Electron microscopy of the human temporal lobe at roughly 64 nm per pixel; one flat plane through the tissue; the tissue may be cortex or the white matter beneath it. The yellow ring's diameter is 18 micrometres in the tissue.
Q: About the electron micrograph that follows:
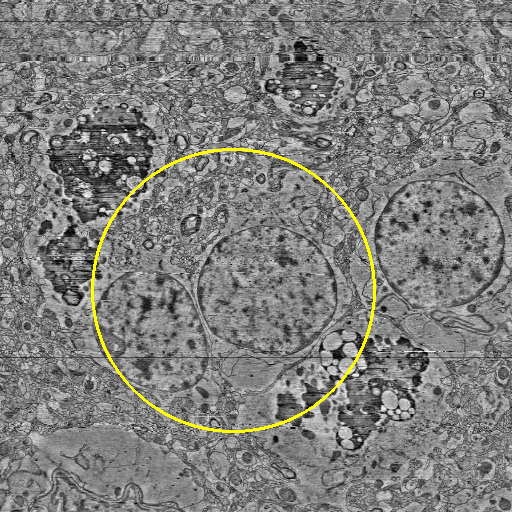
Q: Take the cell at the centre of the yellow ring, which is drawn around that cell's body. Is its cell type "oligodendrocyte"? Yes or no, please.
No, its type is another one.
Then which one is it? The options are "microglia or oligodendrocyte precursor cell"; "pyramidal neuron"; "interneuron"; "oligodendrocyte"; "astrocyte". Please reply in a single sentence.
The ring holds an astrocyte at its centre.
